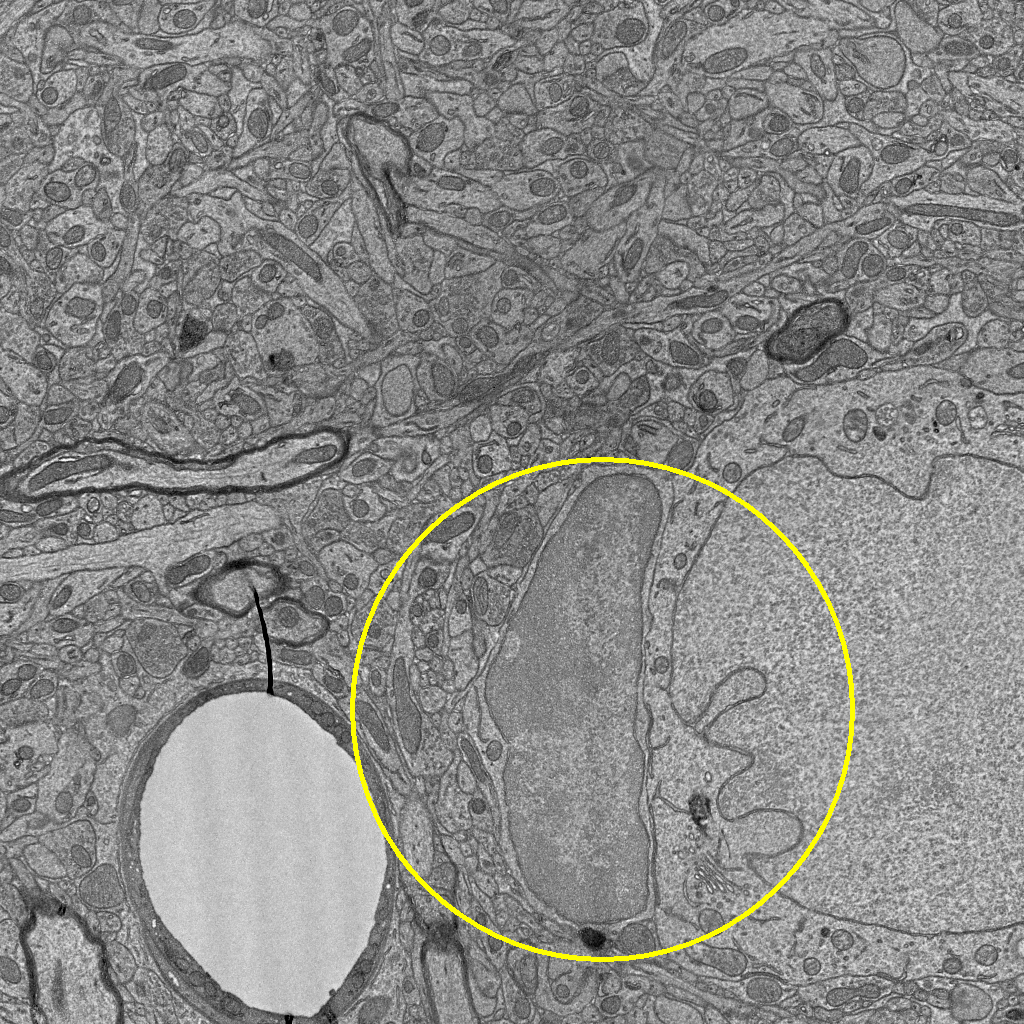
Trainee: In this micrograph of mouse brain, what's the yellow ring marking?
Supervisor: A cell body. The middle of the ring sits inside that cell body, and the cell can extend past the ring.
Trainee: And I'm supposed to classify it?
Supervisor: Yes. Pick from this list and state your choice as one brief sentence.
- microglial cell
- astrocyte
The cell at the ring's center is a microglial cell.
